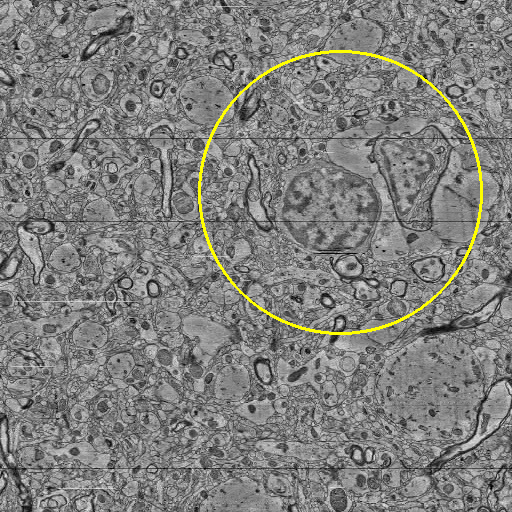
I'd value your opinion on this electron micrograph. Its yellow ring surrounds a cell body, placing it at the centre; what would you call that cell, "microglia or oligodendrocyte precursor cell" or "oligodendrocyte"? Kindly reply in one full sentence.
It is an oligodendrocyte that sits centred within the yellow ring in this micrograph.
